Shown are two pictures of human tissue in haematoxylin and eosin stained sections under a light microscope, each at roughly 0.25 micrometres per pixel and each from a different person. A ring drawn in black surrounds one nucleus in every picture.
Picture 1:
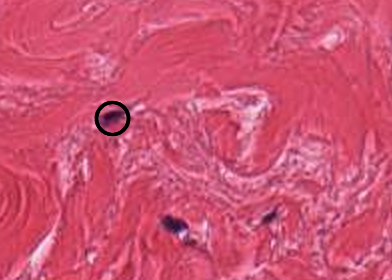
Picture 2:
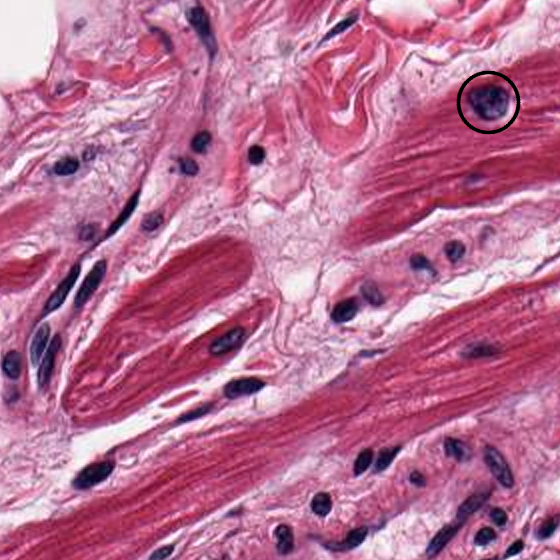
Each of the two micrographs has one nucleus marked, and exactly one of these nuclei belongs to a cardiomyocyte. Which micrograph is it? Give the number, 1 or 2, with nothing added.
2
